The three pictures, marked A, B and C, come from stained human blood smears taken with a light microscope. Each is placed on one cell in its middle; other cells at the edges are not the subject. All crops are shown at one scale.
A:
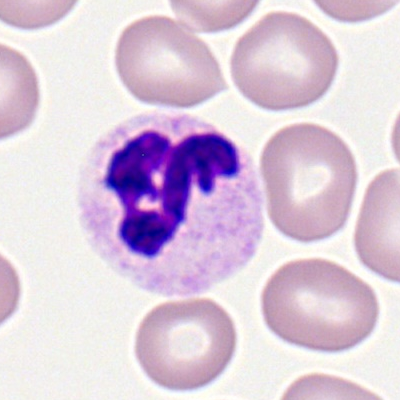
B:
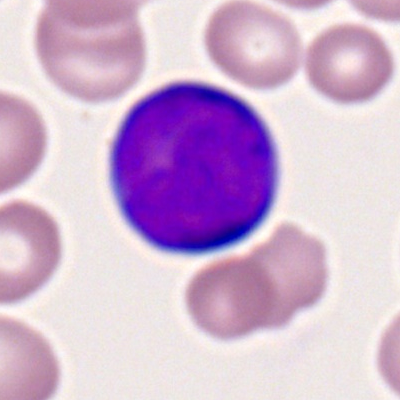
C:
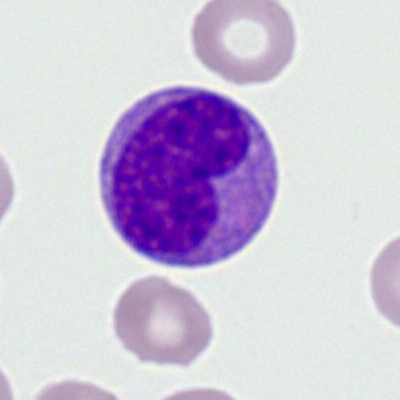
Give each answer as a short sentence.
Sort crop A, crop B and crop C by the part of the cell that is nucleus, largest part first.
The most filled comes first: B, C, A.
